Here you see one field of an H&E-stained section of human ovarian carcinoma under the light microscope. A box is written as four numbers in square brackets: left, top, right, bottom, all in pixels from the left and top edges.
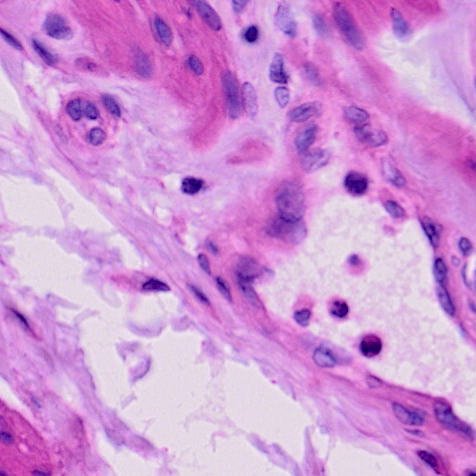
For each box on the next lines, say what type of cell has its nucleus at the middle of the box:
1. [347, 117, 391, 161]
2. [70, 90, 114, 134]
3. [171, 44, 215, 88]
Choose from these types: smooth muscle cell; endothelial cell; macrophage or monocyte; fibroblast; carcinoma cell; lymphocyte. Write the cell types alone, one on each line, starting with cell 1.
endothelial cell
endothelial cell
smooth muscle cell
